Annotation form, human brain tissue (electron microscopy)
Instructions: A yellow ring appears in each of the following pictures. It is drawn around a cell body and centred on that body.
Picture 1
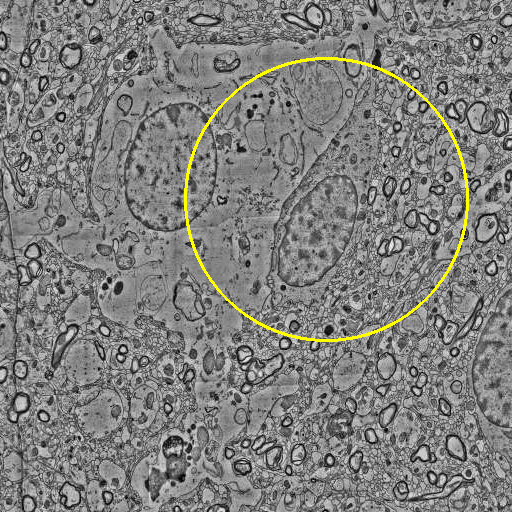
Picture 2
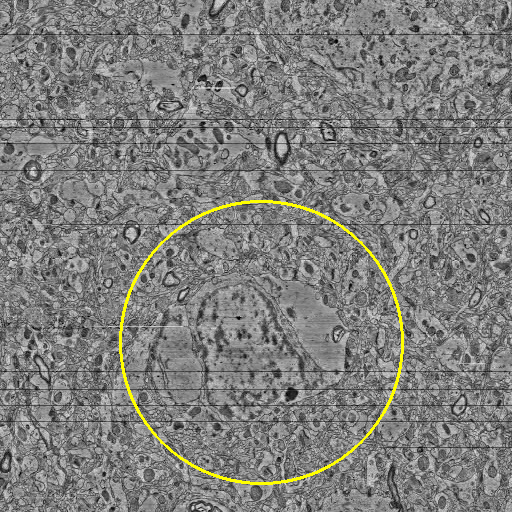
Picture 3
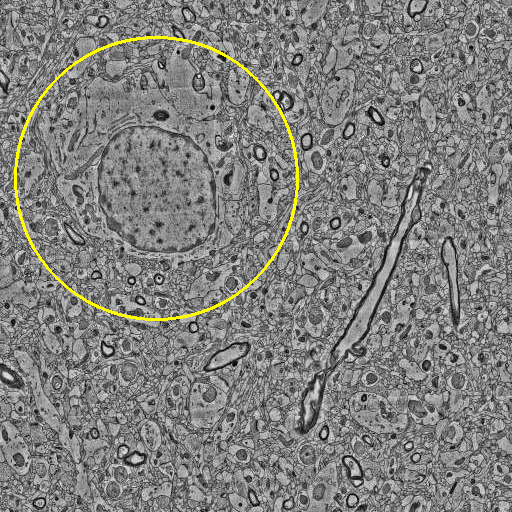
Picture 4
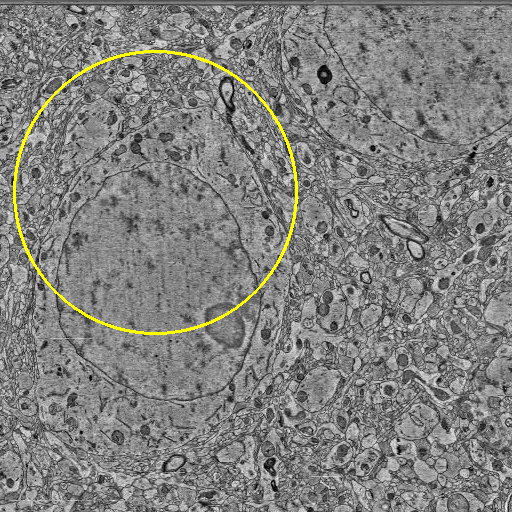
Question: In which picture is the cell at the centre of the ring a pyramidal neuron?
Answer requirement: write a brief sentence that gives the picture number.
The cell at the centre of the ring in Picture 4 is the one asked for.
